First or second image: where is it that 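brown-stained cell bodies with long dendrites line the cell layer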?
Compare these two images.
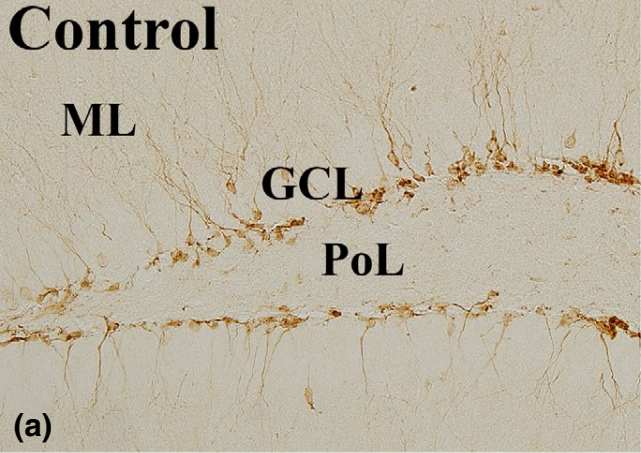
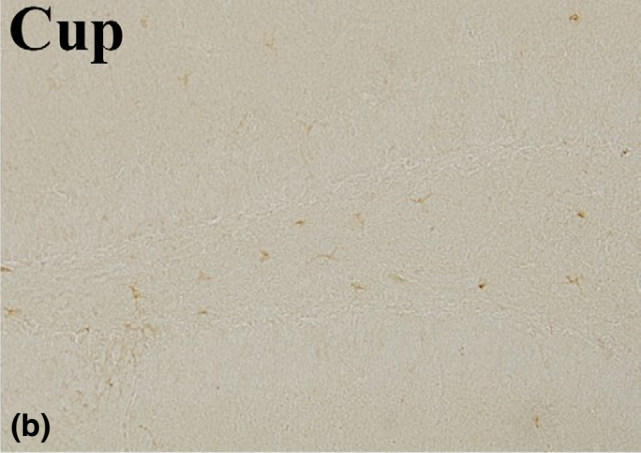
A: The first image.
